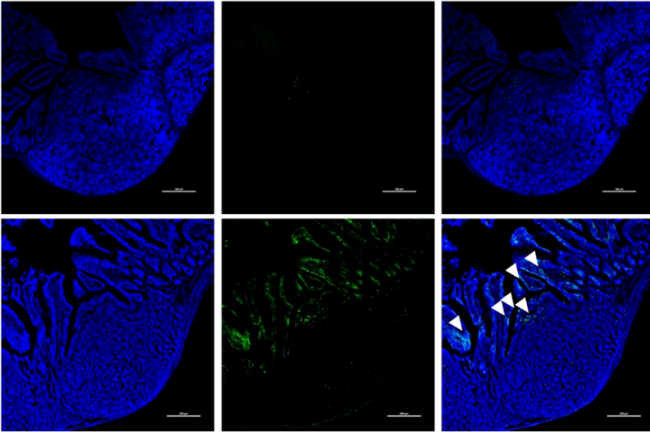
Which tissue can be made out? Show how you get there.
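A large dome-shaped mass of densely packed blue nuclei fills much of the section. Shorter finger-like projections of epithelium lie at the edge of this dense mass.
Conclusion: Peyer’s patch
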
